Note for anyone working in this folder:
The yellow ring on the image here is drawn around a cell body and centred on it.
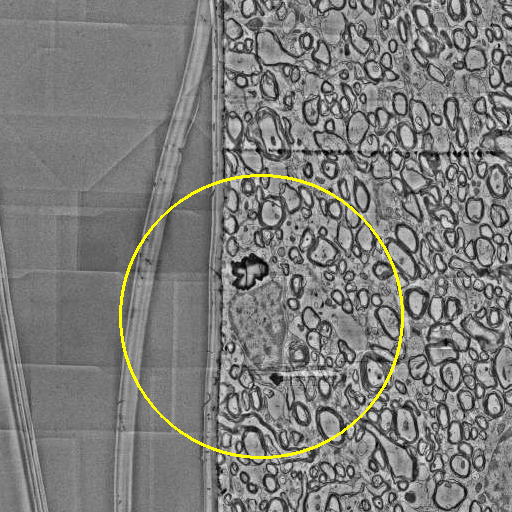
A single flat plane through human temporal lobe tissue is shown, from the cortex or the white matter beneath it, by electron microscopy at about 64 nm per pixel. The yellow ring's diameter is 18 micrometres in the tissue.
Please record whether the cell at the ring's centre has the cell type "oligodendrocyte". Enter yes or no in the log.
yes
